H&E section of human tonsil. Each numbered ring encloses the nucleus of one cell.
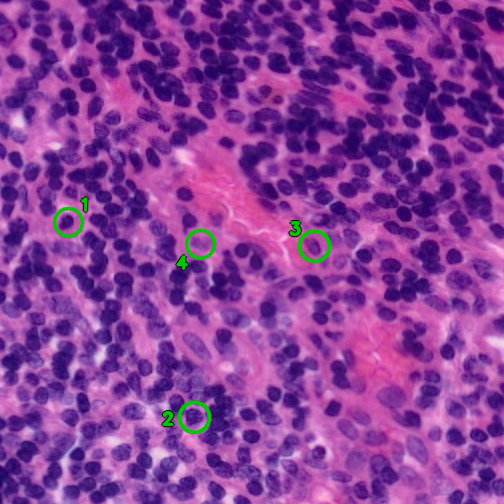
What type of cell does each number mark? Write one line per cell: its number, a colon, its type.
1: endothelial cell
2: small lymphocyte
3: endothelial cell
4: endothelial cell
